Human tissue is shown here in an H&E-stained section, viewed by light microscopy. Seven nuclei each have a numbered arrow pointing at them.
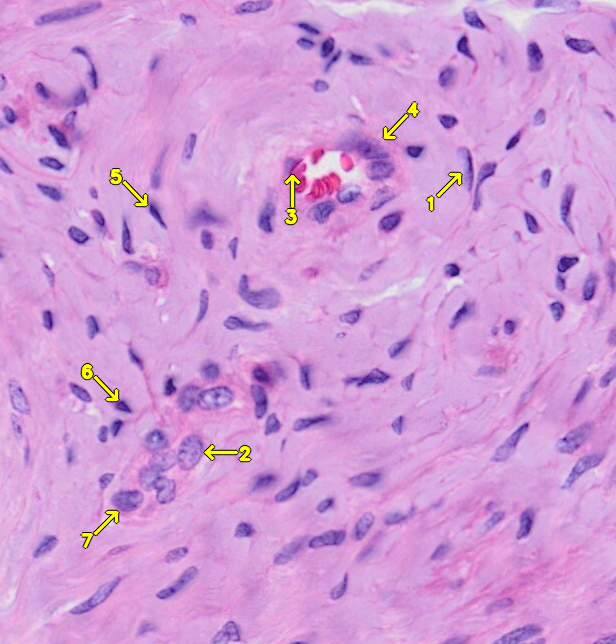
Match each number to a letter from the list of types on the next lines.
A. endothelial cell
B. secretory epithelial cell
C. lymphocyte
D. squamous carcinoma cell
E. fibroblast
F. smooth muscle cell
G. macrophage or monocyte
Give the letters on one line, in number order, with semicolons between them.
E; A; A; A; E; E; A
